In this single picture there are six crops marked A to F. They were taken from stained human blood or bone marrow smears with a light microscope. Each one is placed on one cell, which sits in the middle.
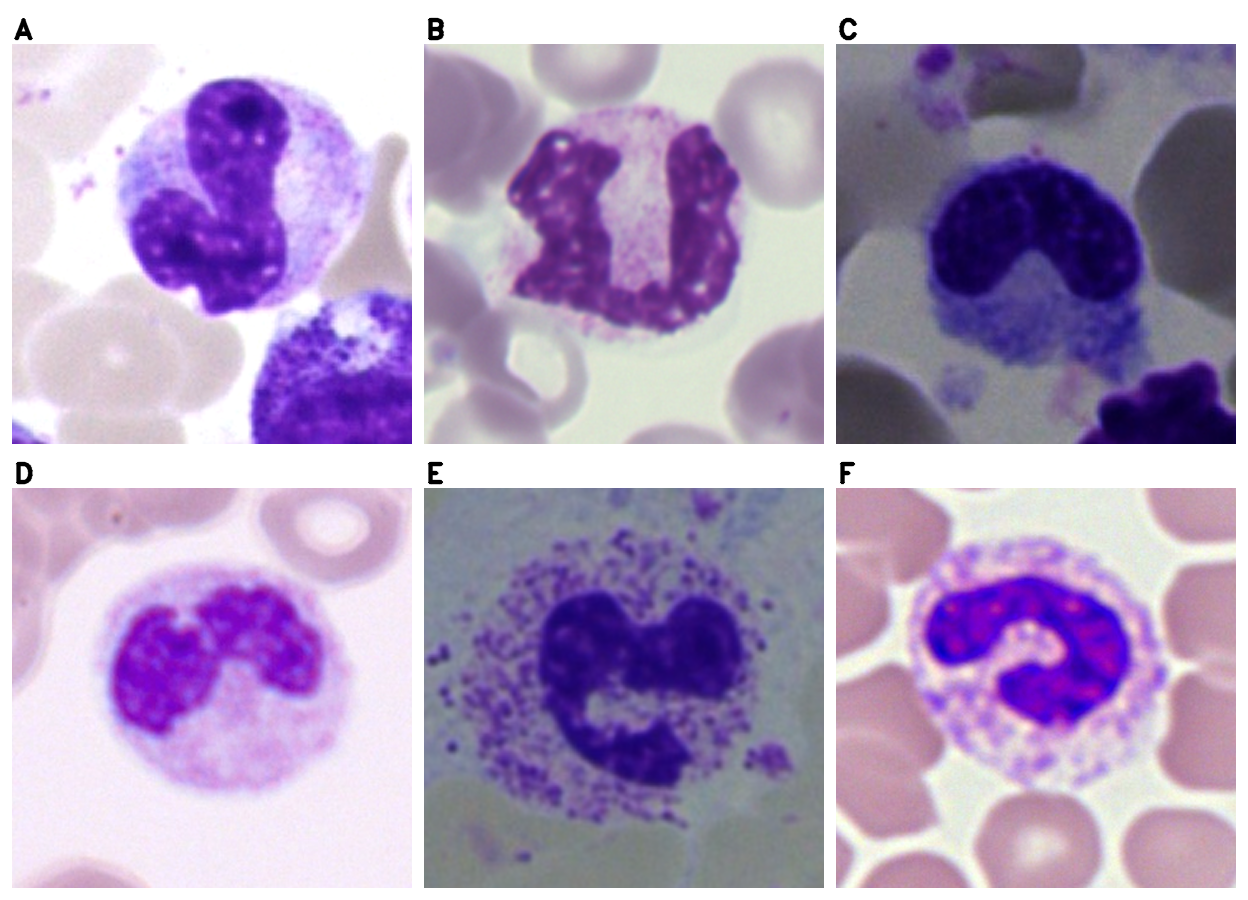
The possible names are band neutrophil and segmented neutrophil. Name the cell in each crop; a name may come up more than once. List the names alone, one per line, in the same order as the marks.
segmented neutrophil
segmented neutrophil
band neutrophil
segmented neutrophil
segmented neutrophil
band neutrophil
